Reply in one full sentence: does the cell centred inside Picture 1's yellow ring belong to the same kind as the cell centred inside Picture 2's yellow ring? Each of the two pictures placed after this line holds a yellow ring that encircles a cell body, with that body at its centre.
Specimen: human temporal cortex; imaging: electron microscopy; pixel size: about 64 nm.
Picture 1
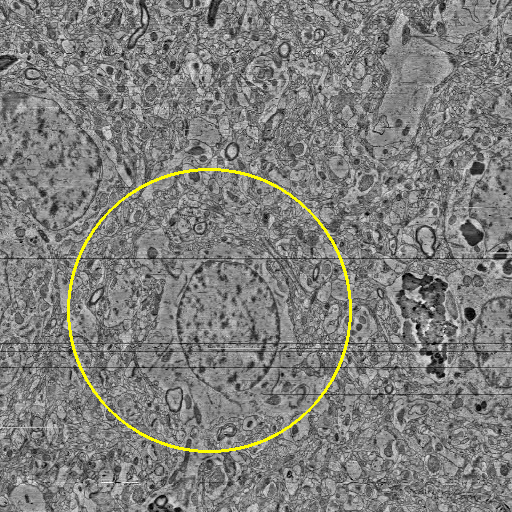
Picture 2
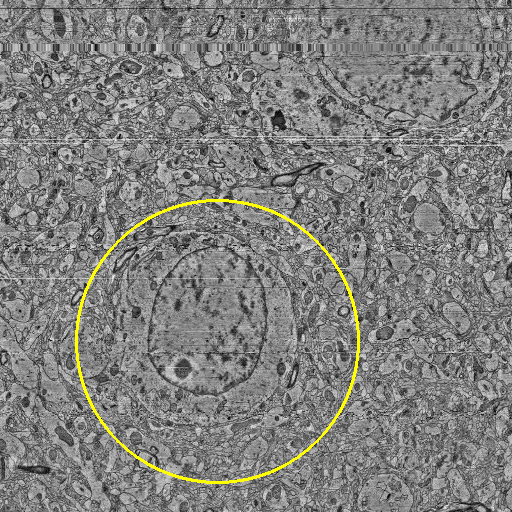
No, the ring-centred cells in Picture 1 and Picture 2 are of two separate kinds.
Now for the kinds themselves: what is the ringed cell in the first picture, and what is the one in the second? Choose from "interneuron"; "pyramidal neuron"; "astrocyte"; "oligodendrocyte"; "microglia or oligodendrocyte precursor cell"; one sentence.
Here the first cell is an astrocyte and the second cell is a pyramidal neuron.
